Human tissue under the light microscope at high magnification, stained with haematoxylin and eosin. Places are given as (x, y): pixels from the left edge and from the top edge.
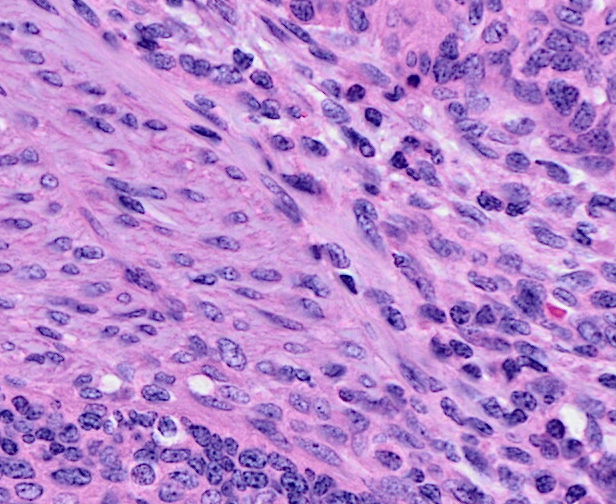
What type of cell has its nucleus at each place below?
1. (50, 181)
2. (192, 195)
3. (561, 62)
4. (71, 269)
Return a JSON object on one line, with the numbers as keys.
{"1": "smooth muscle cell", "2": "smooth muscle cell", "3": "squamous carcinoma cell", "4": "smooth muscle cell"}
